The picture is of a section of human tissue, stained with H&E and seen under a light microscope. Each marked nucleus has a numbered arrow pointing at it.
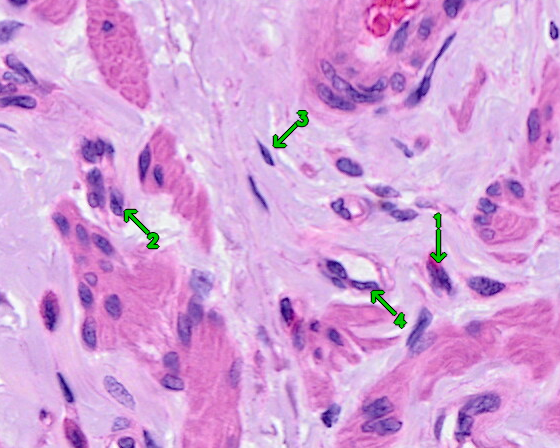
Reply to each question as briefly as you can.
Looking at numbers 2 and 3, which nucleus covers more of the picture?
2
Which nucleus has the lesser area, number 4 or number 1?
4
